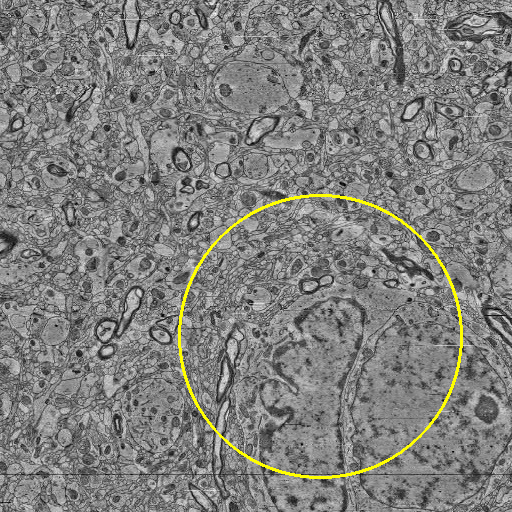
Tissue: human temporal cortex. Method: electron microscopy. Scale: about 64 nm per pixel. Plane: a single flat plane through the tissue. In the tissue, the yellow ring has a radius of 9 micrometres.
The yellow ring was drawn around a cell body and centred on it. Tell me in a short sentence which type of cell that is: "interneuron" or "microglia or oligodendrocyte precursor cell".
The cell at the ring's centre is a microglial cell or oligodendrocyte precursor cell.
